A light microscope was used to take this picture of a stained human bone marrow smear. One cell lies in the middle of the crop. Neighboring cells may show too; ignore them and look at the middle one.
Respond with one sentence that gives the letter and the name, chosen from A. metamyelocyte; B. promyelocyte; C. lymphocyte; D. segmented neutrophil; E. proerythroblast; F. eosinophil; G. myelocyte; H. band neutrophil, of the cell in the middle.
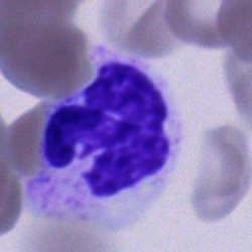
Seen at the centre of the crop is a segmented neutrophil, so option D is correct.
